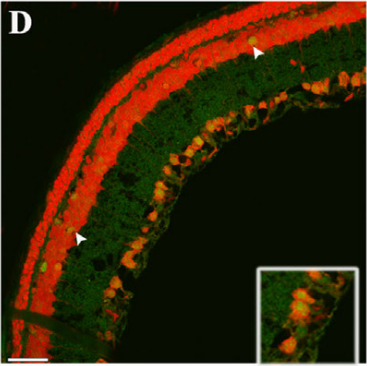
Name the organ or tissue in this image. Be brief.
Retina.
